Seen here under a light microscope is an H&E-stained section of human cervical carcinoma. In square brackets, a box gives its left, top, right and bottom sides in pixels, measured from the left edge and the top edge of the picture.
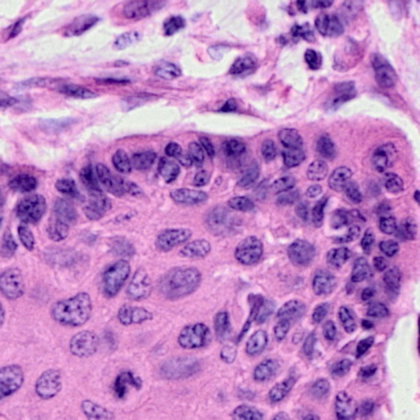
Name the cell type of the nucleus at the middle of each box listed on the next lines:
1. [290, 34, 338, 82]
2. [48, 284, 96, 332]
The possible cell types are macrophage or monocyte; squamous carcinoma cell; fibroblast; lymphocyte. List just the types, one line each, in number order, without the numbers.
lymphocyte
squamous carcinoma cell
